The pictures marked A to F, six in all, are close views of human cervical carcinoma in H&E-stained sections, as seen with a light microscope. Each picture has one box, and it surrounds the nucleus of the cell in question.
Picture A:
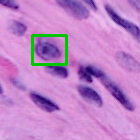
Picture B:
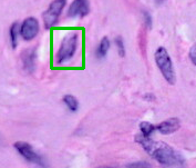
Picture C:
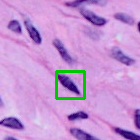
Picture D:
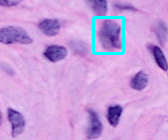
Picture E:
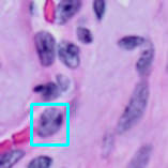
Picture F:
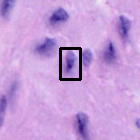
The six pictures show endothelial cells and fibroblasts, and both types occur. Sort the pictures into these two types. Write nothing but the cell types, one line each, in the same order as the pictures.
endothelial cell
endothelial cell
fibroblast
fibroblast
endothelial cell
fibroblast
